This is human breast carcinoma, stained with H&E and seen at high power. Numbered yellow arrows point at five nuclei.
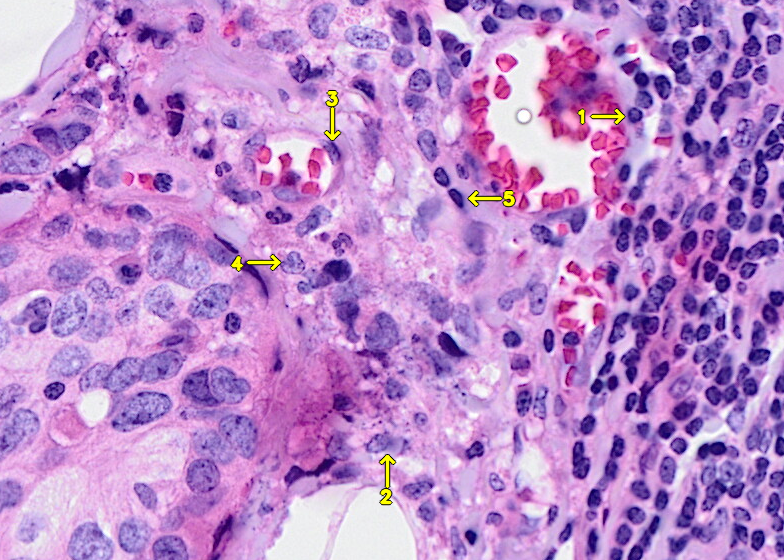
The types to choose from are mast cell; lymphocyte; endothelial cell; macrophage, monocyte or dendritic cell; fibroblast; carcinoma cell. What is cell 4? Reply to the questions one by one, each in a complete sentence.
The marked cell with the number 4 is recognised as a macrophage, monocyte or dendritic cell.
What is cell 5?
The cell carrying label 5 is identified as a lymphocyte.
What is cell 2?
The cell given label 2 is a macrophage, monocyte or dendritic cell.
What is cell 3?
The numbered cell 3 in this field is an endothelial cell.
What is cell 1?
The cell with the number 1 is a lymphocyte.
